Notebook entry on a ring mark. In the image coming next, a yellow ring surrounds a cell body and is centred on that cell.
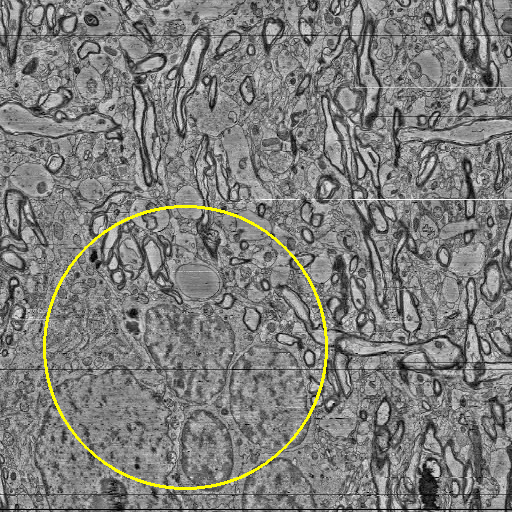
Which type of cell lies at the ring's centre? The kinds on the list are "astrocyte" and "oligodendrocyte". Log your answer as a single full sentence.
Centred in the yellow ring is an oligodendrocyte, the cell recorded for this image.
